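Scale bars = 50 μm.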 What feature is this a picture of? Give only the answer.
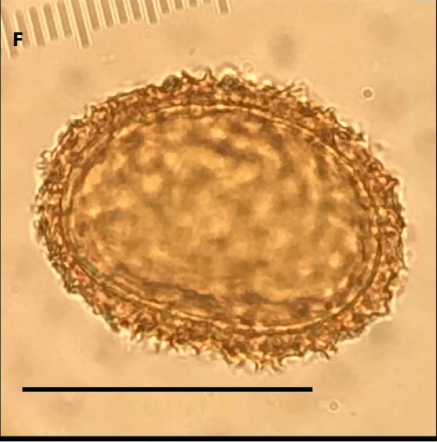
Monolete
